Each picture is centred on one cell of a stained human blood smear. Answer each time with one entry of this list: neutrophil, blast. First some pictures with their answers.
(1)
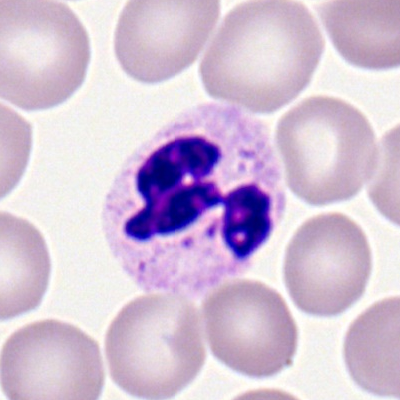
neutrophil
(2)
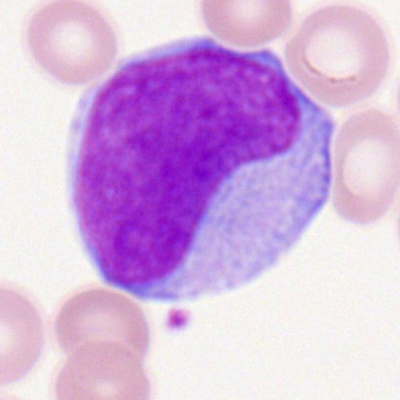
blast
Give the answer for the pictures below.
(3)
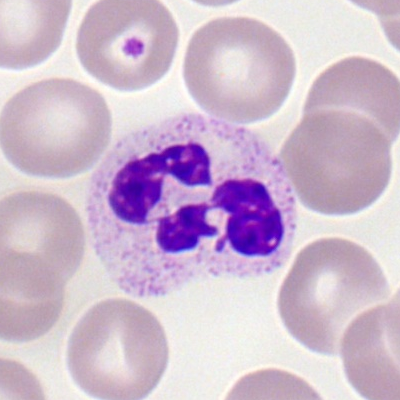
neutrophil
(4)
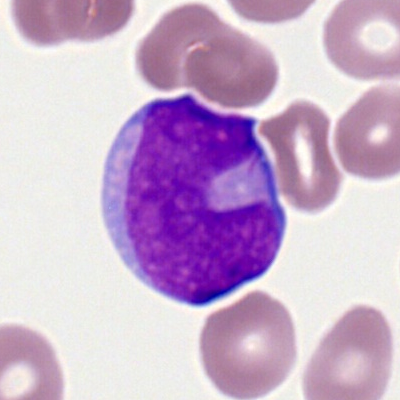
blast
